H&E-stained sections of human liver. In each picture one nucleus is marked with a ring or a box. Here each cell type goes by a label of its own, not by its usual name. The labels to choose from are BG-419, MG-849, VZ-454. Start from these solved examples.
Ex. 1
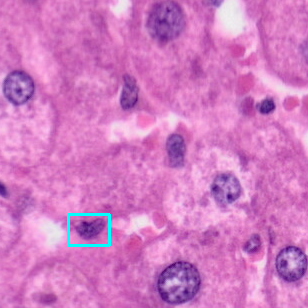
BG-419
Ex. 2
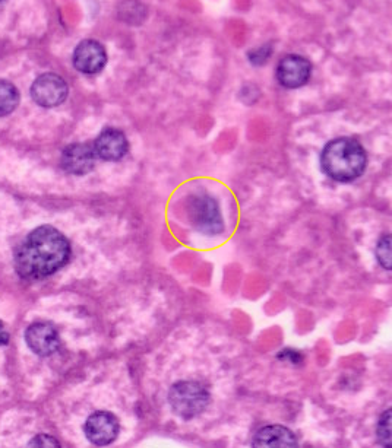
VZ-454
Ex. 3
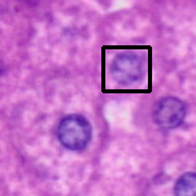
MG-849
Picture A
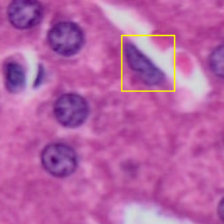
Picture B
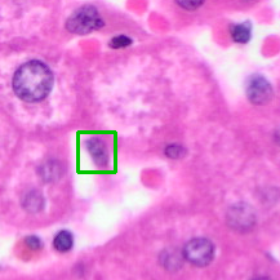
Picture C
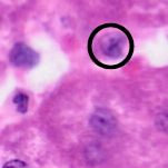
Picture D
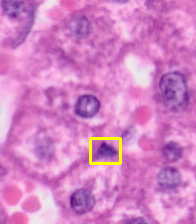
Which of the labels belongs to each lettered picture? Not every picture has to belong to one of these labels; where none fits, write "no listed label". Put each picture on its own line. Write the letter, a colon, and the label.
A: no listed label
B: no listed label
C: no listed label
D: BG-419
